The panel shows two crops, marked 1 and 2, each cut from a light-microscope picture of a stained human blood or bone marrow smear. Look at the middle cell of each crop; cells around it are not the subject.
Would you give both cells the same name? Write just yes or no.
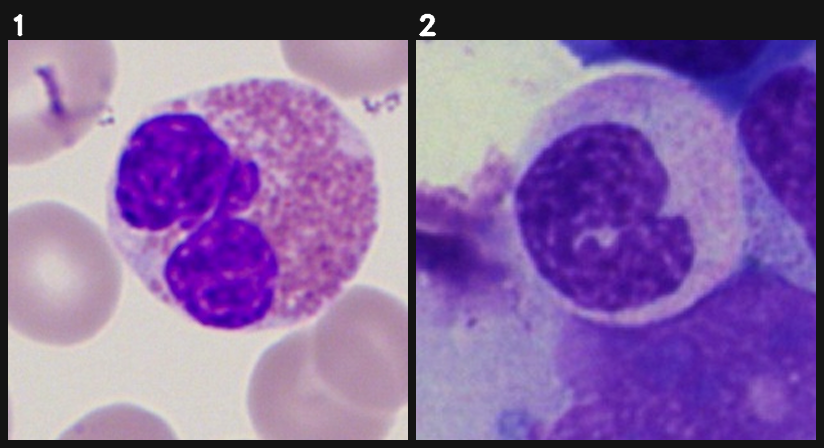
no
